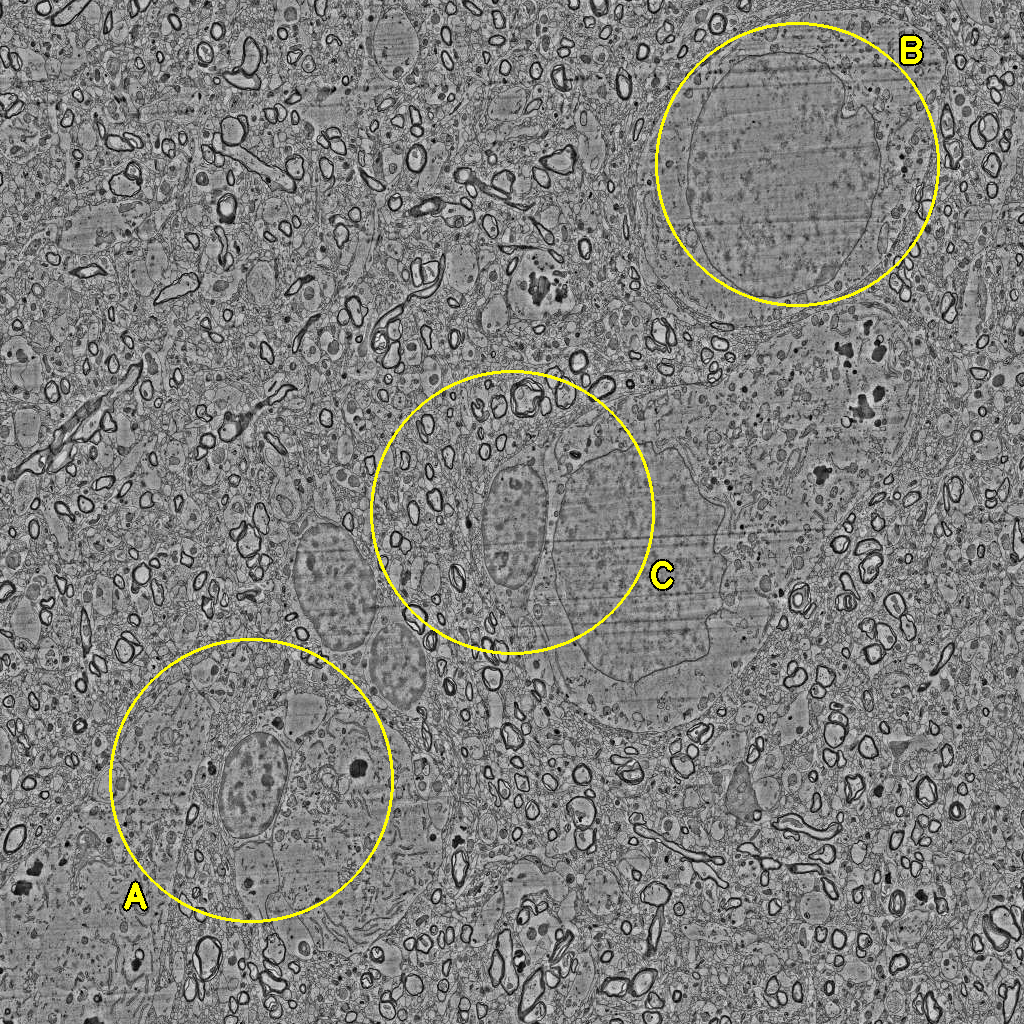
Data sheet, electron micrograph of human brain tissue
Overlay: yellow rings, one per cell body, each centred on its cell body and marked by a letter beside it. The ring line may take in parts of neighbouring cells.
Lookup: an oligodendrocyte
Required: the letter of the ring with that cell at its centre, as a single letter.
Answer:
C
